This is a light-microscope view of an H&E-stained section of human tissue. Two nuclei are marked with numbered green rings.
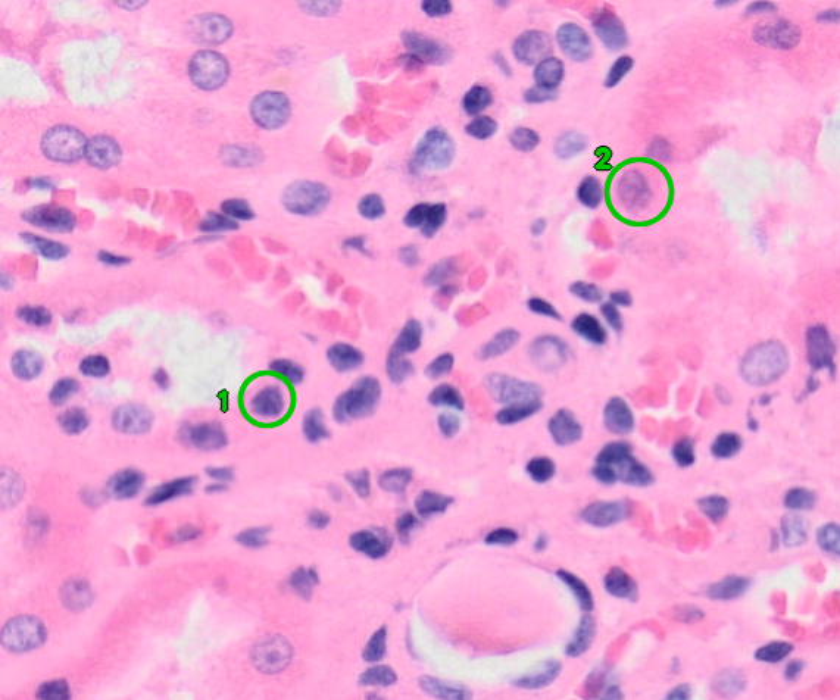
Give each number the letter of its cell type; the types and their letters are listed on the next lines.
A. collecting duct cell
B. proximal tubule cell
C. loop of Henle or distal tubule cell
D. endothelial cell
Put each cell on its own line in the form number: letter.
1: C
2: B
